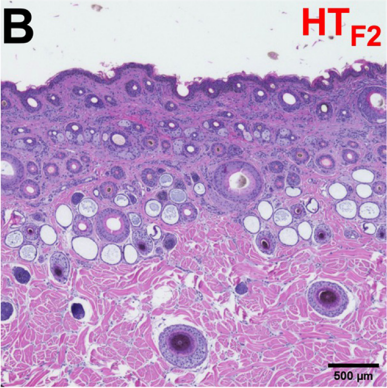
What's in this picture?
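This skin section shows a thin, purple-staining epidermis at the top, with a few loose keratin flakes above it. Immediately below, the upper dermis is crowded with hair follicles cut in cross section, appearing as small round rings of purple epithelial cells, some with a pigmented hair shaft in the centre. Among them lie many rounded, pale, clear profiles of varying size. Larger follicles cut across lie deeper. The lower half of the section is dermis of dense, interlacing pink collagen bundles with sparse small dark nuclei between them.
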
